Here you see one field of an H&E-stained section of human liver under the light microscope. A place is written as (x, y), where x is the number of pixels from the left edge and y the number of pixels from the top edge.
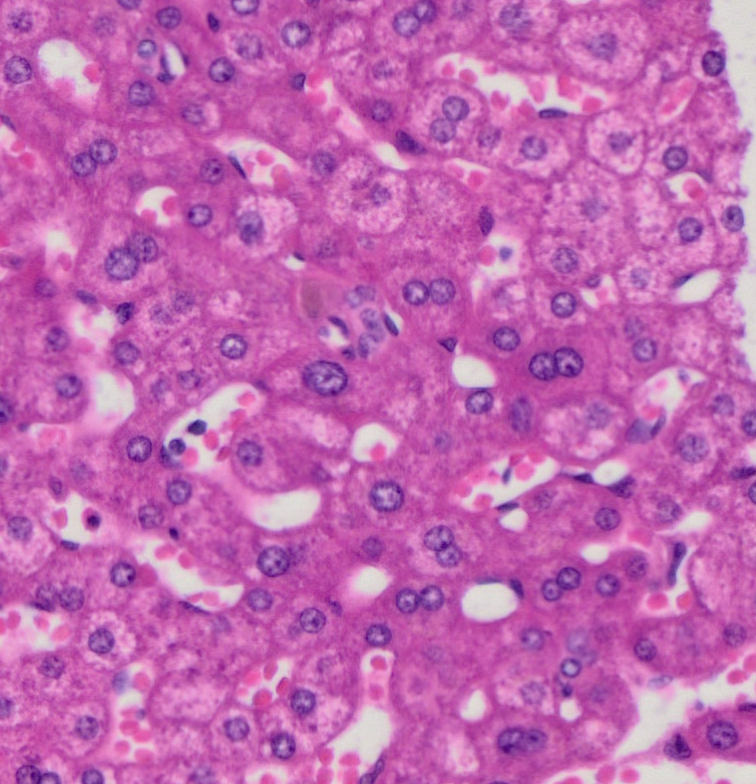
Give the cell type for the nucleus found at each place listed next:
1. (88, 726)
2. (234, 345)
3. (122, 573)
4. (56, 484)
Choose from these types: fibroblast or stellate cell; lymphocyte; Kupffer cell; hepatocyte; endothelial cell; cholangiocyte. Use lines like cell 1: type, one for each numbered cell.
cell 1: hepatocyte
cell 2: hepatocyte
cell 3: hepatocyte
cell 4: Kupffer cell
